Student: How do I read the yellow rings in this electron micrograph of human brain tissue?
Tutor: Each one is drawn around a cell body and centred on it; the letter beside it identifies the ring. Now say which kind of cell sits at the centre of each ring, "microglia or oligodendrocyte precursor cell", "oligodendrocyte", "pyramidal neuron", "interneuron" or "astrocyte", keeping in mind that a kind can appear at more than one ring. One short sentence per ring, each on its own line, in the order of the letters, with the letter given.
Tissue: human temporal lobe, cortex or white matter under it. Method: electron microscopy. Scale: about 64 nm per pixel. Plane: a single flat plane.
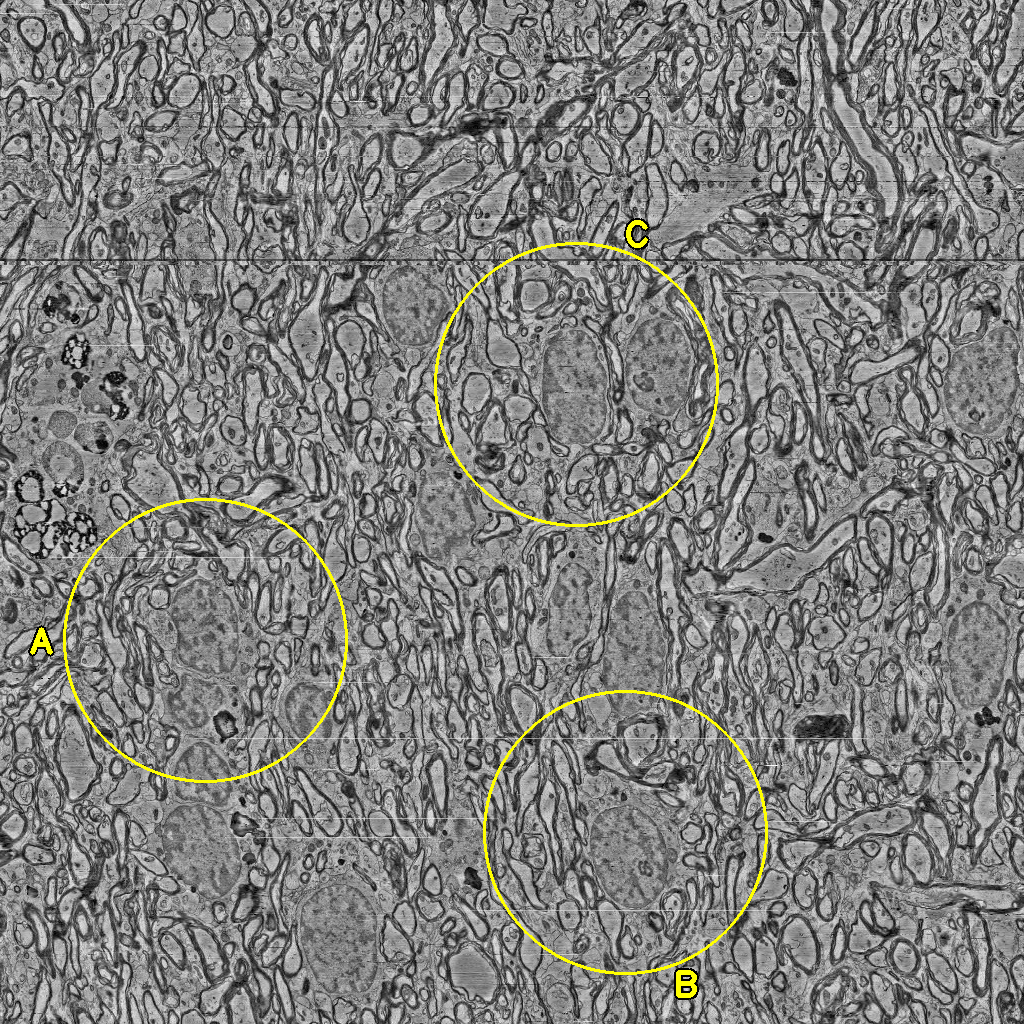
In the centre of ring A is an oligodendrocyte.
In the centre of ring B is an oligodendrocyte.
In the centre of ring C is an oligodendrocyte.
